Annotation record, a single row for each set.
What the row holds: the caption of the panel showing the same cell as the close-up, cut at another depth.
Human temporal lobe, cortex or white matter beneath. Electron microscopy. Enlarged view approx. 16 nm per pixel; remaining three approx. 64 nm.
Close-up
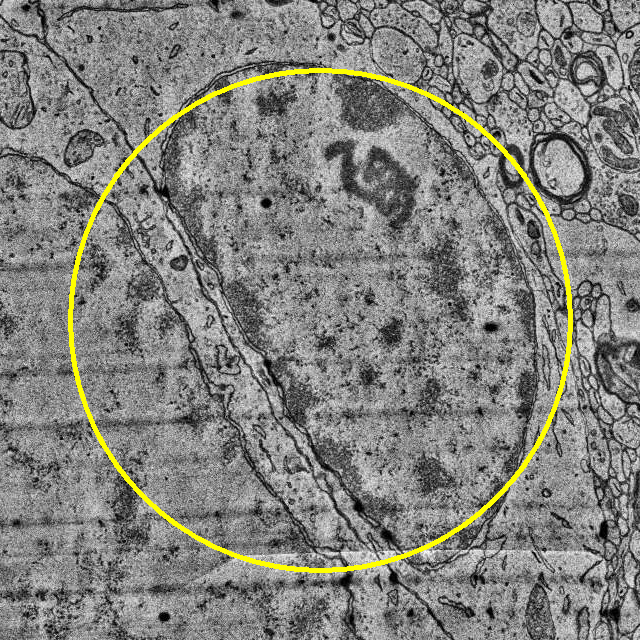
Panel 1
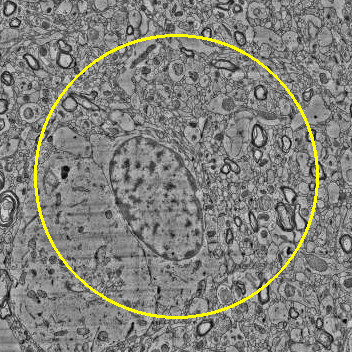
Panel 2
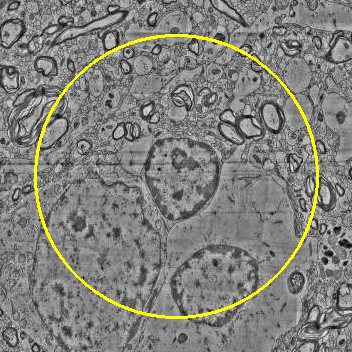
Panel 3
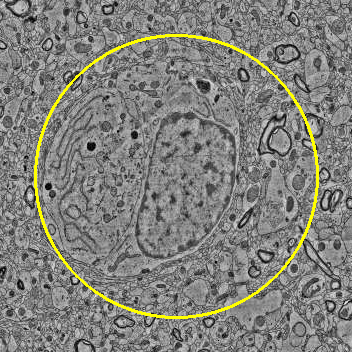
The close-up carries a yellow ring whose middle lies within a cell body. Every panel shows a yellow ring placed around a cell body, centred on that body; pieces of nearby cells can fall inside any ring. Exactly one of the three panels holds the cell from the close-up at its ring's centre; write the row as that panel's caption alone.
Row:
Panel 1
